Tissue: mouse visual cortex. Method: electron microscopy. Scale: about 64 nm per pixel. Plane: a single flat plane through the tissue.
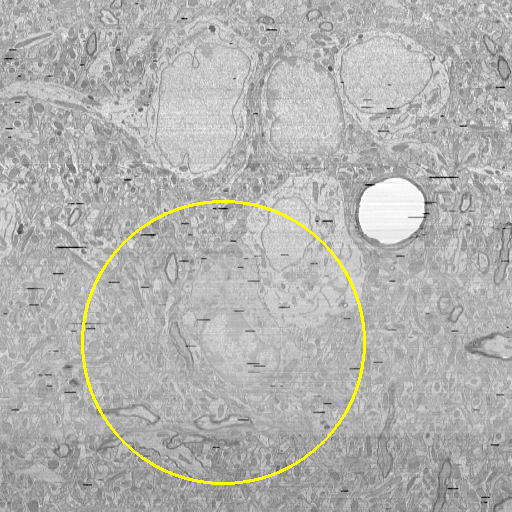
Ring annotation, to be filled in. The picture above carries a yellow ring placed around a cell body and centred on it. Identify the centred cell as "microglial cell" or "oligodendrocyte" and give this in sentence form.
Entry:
The cell in the middle of the ring is an oligodendrocyte.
